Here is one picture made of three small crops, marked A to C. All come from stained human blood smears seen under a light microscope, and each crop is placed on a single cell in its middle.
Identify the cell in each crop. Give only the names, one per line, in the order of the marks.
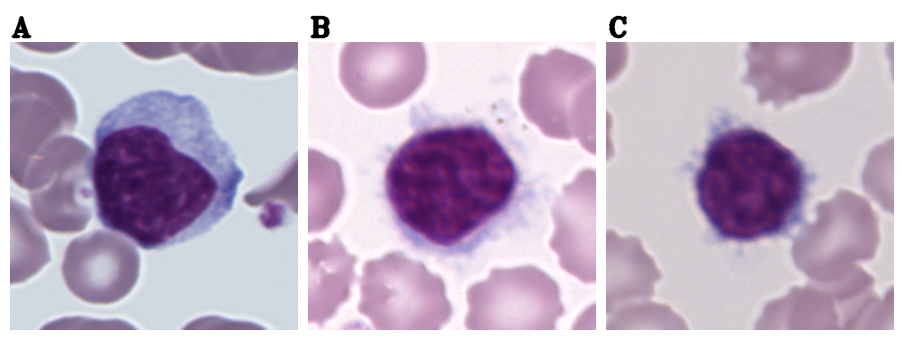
typical lymphocyte
hairy cell
hairy cell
